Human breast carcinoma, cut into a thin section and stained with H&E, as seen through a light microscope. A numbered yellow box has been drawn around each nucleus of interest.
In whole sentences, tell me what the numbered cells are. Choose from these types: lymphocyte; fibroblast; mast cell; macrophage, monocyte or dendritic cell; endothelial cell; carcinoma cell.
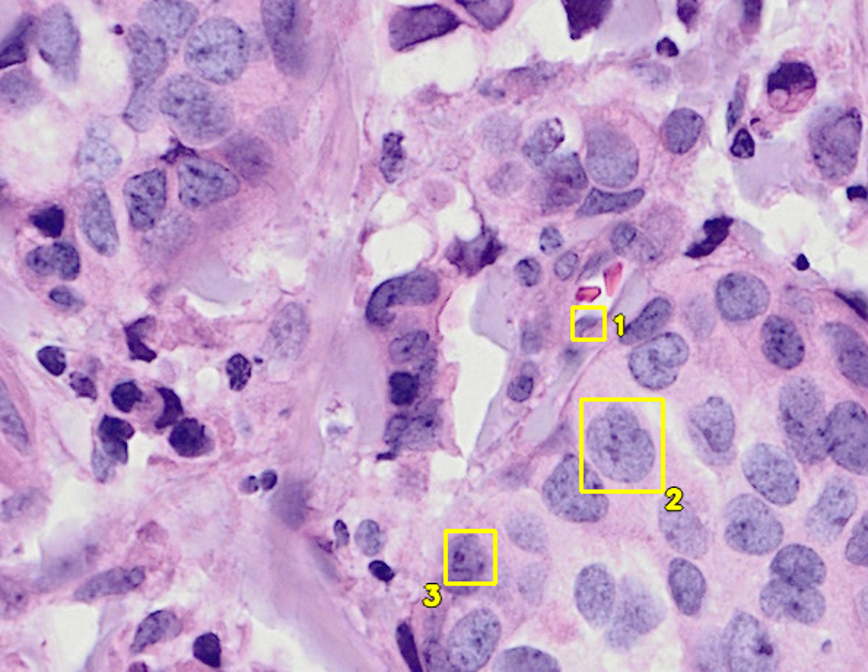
Cell 1 is an endothelial cell, cell 2 is a carcinoma cell and cell 3 is a carcinoma cell.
